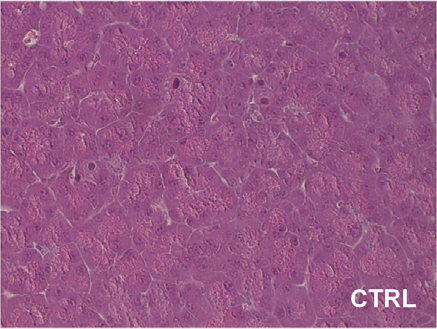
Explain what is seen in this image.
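This is pancreatic tissue in which pink-staining glandular cells are packed closely together in small rounded clusters. The cytoplasm looks finely granular, and the nuclei sit toward the base of each cluster. Only thin pale lines of connective tissue run between the clusters. There are no wide empty spaces and no crowds of small dark cells between the lobules.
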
